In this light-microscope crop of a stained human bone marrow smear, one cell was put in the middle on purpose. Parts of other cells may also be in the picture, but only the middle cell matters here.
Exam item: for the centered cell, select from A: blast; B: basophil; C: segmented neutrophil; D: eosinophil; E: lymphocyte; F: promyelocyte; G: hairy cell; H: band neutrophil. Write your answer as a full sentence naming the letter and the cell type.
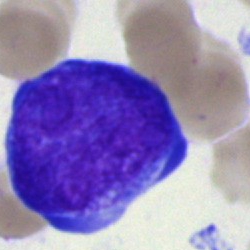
Option A is the keyed answer: the cell in the middle is a blast.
